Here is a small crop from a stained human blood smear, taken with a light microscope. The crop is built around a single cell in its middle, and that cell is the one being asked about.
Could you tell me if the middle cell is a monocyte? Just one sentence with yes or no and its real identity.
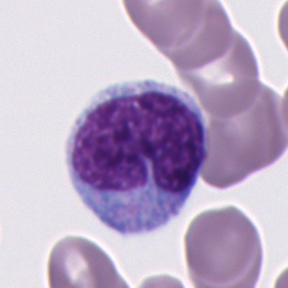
Yes, the cell sitting in the middle of this smear crop is a monocyte.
